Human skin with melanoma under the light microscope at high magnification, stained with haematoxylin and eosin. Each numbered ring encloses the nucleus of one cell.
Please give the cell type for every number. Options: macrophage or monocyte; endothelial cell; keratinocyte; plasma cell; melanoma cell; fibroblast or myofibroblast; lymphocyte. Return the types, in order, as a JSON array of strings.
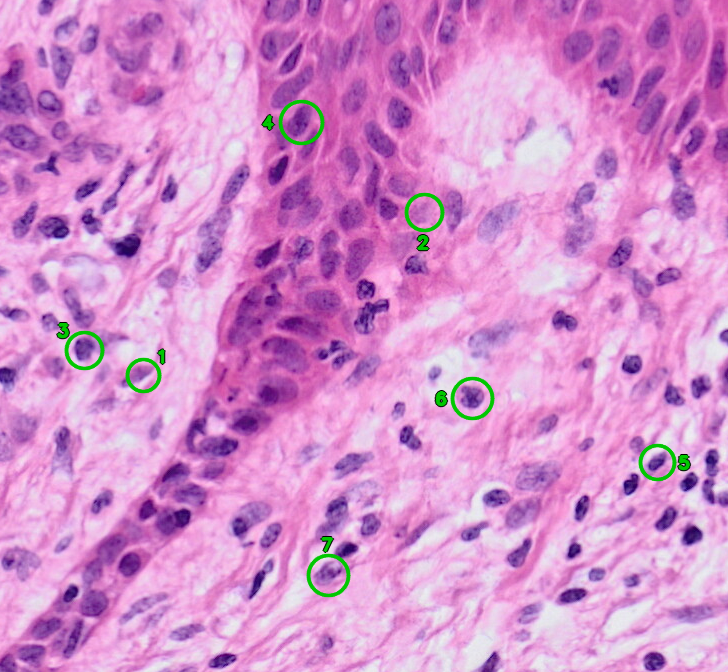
["fibroblast or myofibroblast", "keratinocyte", "lymphocyte", "keratinocyte", "lymphocyte", "lymphocyte", "fibroblast or myofibroblast"]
